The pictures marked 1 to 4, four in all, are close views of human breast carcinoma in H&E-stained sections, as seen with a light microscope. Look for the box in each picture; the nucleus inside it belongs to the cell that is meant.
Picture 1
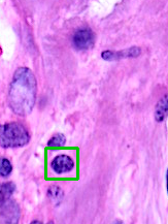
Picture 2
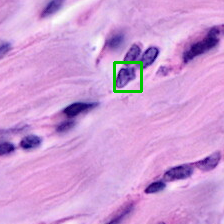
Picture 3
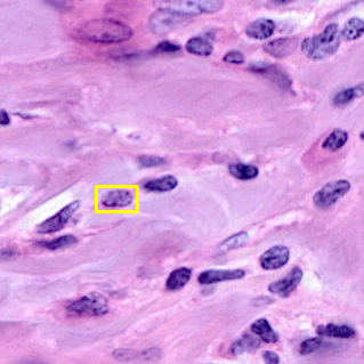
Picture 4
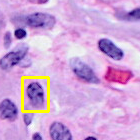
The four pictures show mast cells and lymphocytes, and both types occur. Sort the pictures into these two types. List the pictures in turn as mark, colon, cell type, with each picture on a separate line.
1: lymphocyte
2: lymphocyte
3: mast cell
4: mast cell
